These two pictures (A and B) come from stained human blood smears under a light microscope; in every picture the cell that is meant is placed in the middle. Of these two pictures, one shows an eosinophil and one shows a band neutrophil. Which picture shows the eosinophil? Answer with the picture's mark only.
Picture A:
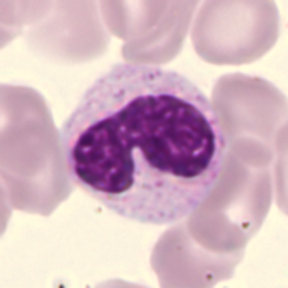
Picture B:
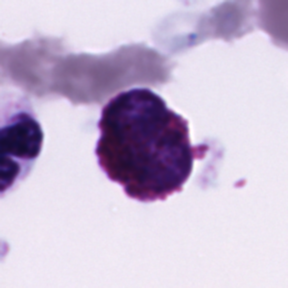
B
